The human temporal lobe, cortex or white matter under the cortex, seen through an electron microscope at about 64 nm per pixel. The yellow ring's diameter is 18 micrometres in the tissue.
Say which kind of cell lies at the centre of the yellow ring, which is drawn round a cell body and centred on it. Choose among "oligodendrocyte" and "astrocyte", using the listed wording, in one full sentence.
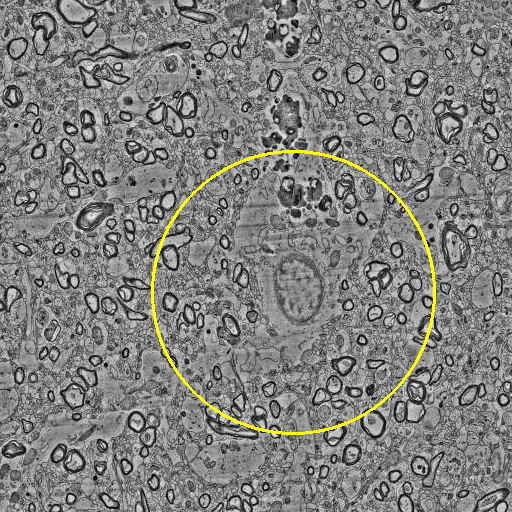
Going by the list, the cell at the yellow ring's centre is an astrocyte.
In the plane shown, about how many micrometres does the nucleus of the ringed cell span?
In this plane the nucleus measures roughly 4 by 3 micrometers.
